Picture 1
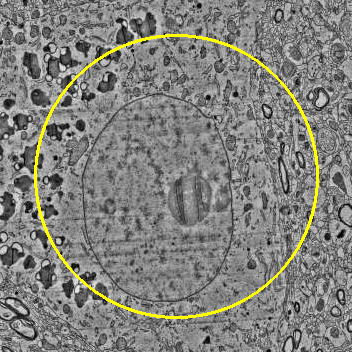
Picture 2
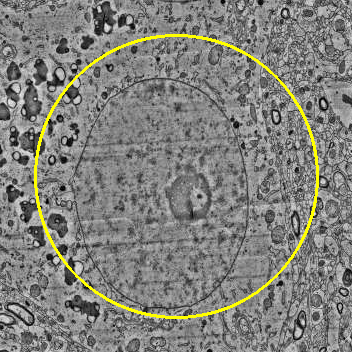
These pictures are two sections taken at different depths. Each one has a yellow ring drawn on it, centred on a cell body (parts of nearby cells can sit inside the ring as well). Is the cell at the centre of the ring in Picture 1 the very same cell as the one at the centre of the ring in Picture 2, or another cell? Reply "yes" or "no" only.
yes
